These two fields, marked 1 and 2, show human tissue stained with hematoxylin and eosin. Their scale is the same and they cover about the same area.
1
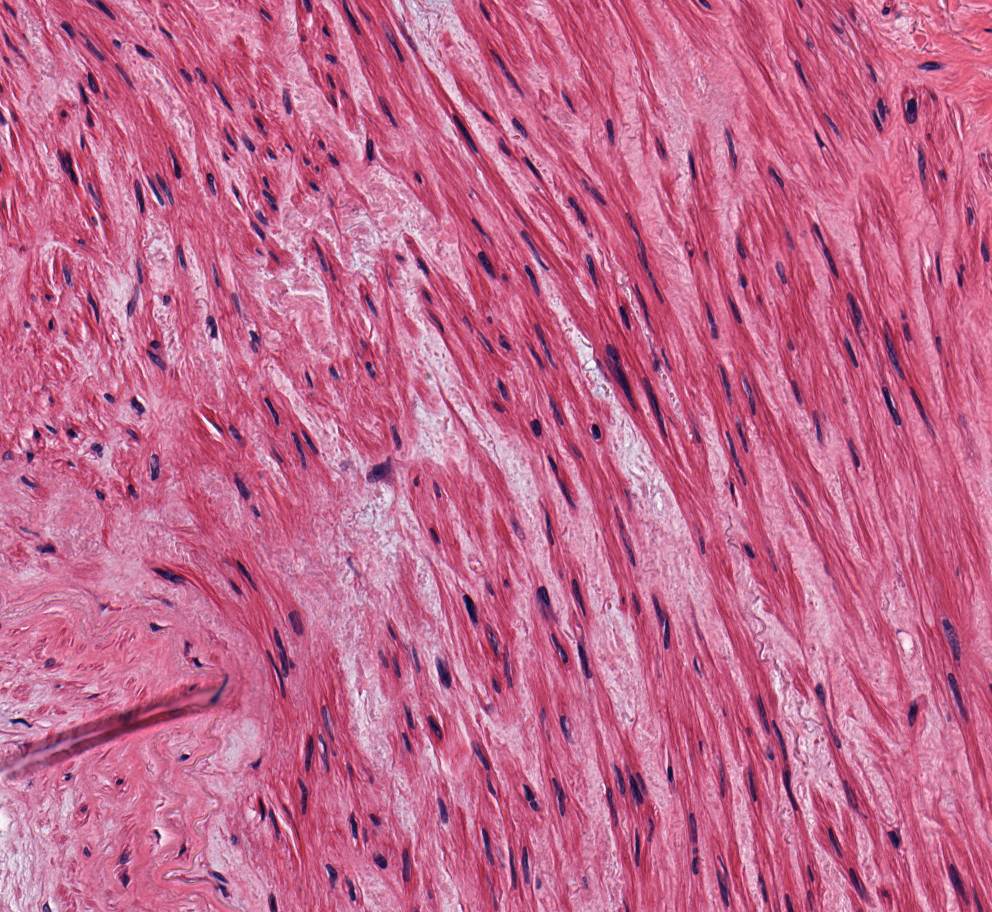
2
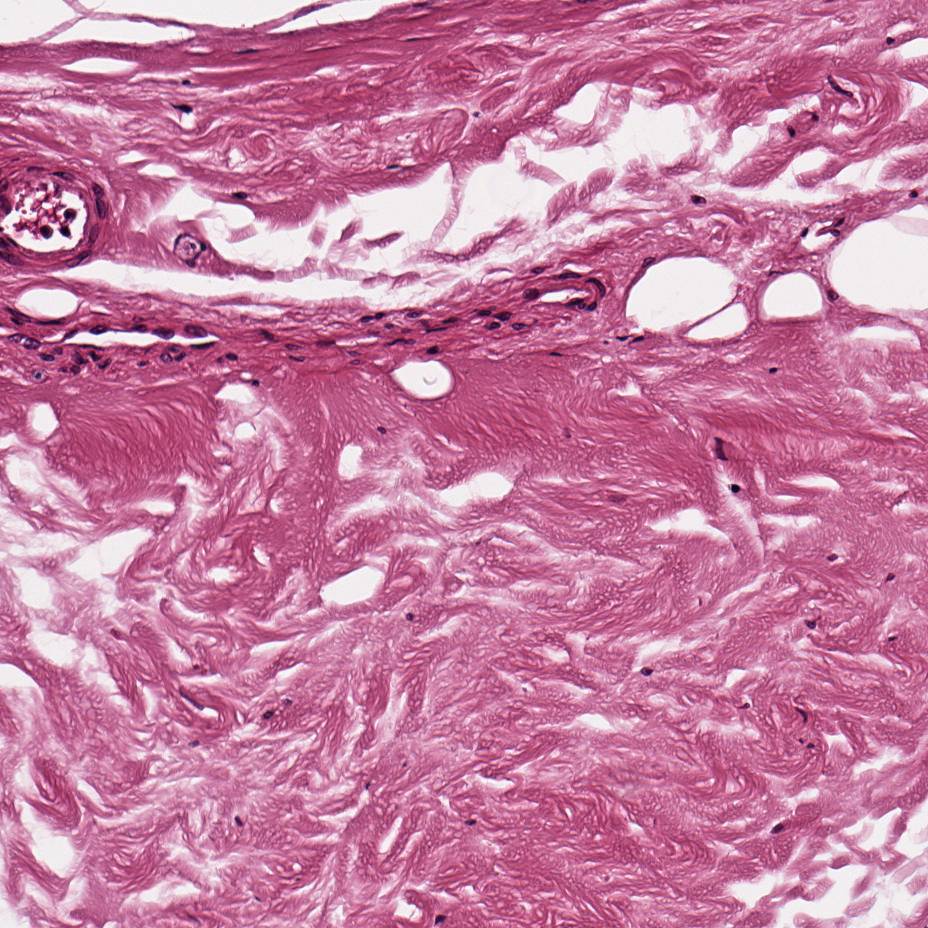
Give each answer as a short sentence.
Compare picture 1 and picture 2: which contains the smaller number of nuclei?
Fewer nuclei lie in picture 2 than in picture 1.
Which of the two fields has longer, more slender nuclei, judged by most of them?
Longer, more slender nuclei lie in picture 1.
